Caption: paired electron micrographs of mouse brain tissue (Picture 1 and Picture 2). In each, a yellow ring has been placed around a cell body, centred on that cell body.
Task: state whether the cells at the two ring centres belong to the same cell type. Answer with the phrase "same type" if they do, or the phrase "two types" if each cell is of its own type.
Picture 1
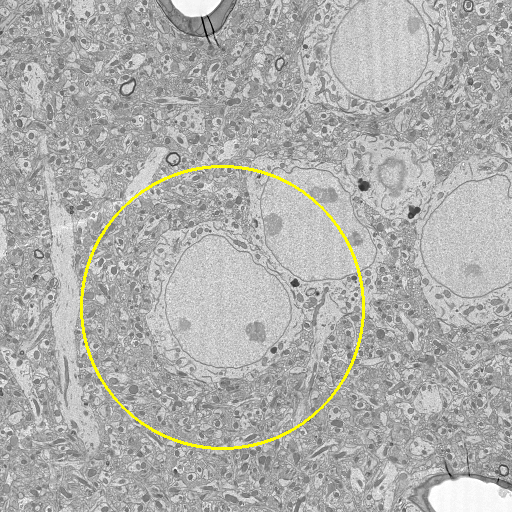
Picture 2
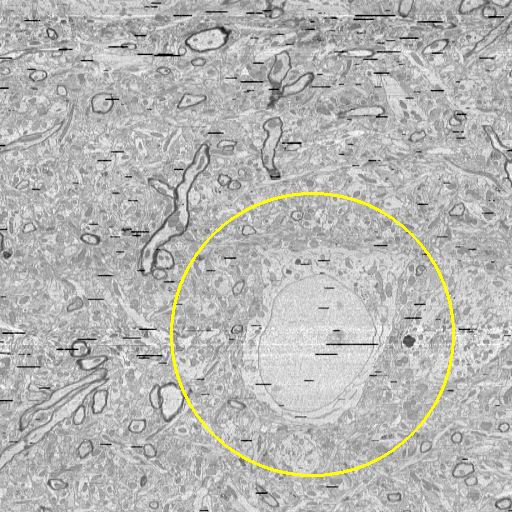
same type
